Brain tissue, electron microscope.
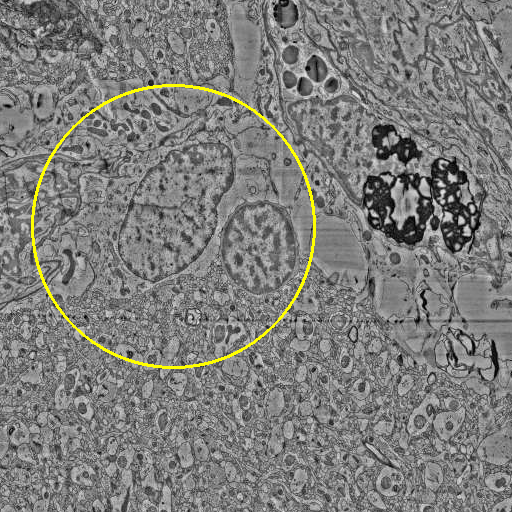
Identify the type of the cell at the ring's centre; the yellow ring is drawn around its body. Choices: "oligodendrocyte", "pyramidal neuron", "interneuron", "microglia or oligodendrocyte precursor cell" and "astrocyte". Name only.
microglia or oligodendrocyte precursor cell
